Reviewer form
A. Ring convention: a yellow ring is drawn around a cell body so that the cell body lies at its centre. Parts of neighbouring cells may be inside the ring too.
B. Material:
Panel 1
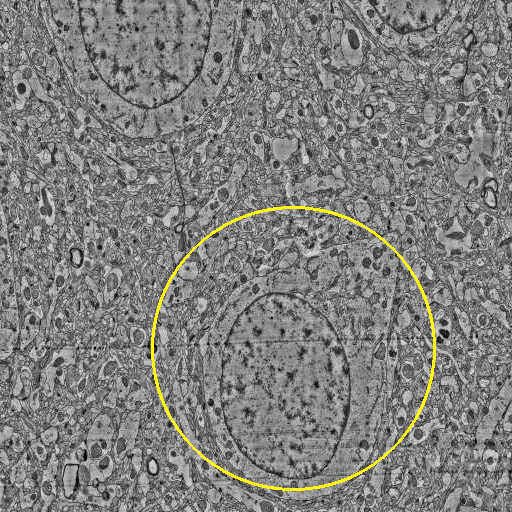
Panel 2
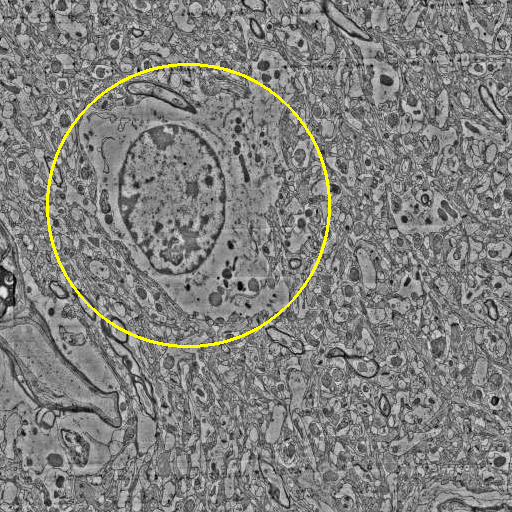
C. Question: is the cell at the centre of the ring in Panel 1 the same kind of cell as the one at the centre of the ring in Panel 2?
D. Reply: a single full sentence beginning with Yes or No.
No, the cells in Panel 1 and Panel 2 are two kinds of cell.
